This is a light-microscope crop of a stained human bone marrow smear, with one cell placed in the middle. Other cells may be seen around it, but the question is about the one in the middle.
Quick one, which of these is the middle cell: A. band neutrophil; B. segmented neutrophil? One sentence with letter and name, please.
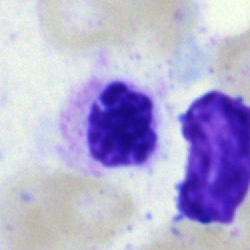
Option B is the right one, for the cell in the middle is a segmented neutrophil.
